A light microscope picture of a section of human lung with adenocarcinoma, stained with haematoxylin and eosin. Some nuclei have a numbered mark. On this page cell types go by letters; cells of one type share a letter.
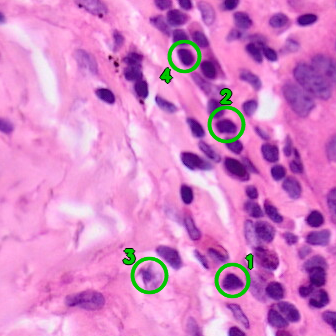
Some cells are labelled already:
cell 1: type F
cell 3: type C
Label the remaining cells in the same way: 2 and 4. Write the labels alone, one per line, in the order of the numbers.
type F
type F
